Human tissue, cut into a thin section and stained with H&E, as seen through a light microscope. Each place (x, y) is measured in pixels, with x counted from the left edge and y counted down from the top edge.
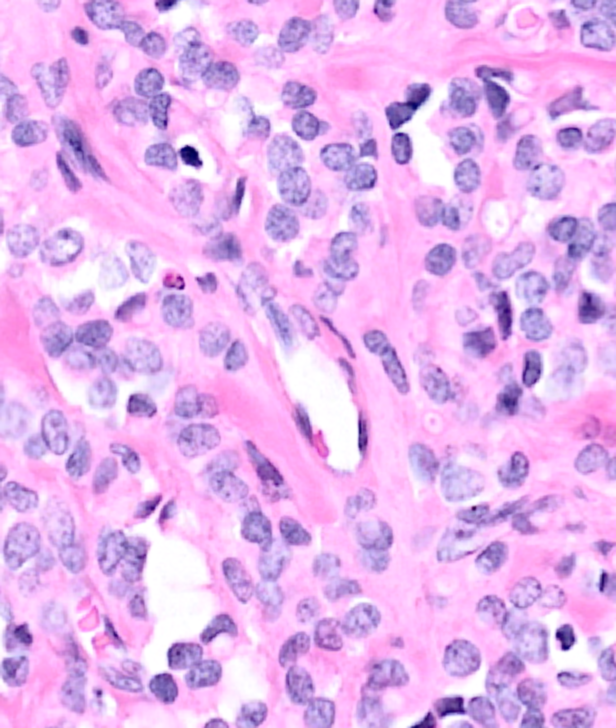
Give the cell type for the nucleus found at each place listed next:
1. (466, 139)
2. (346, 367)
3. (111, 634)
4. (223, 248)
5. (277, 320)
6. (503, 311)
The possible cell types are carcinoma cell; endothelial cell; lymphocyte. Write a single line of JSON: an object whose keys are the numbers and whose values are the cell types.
{"1": "carcinoma cell", "2": "endothelial cell", "3": "endothelial cell", "4": "endothelial cell", "5": "endothelial cell", "6": "carcinoma cell"}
